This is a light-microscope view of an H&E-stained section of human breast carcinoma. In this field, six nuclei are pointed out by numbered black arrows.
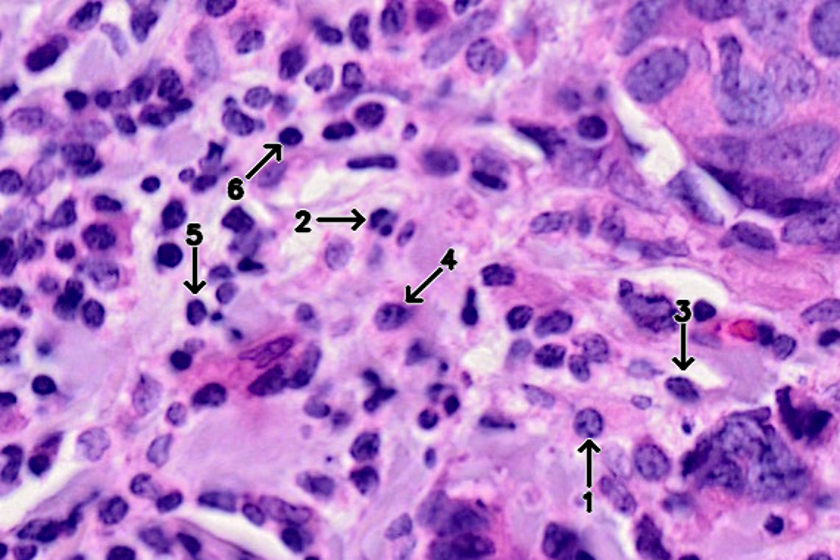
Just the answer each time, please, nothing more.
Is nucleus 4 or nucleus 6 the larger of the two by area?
4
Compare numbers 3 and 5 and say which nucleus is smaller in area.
5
